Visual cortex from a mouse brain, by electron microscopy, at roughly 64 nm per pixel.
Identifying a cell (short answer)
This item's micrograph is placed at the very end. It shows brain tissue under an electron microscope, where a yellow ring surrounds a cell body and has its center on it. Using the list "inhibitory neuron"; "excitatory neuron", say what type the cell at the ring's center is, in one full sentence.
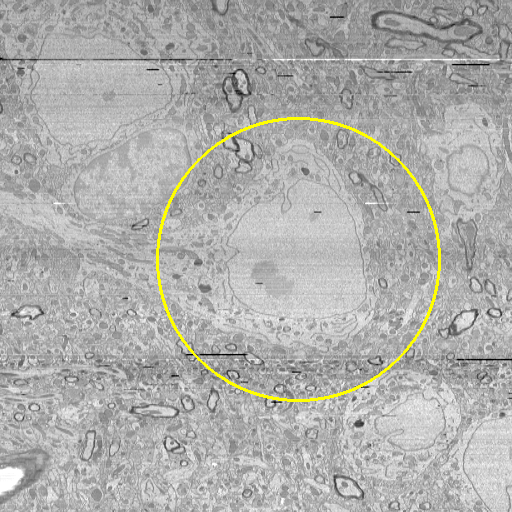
This picture shows an excitatory neuron at the center of the yellow ring drawn on it.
